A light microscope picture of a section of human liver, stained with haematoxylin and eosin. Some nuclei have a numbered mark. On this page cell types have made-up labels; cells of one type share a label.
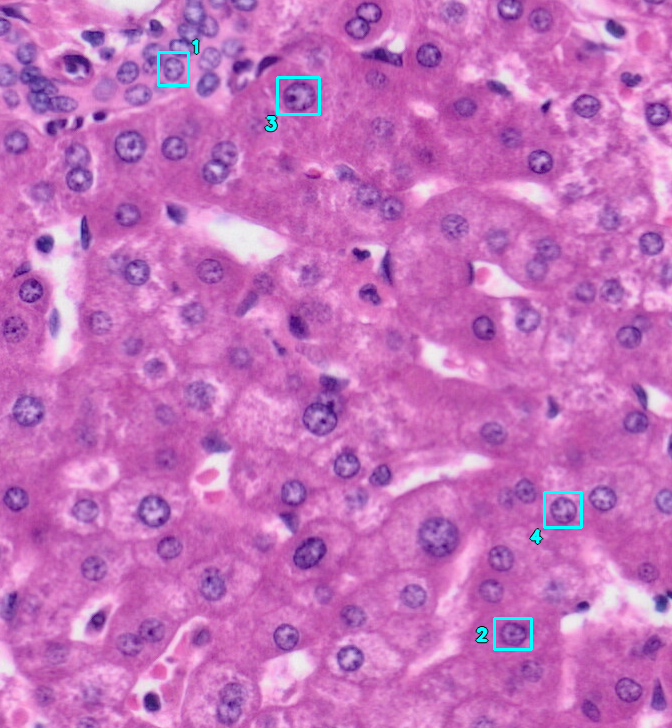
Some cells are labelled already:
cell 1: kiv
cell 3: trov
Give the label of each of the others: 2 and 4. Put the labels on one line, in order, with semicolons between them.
trov; trov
